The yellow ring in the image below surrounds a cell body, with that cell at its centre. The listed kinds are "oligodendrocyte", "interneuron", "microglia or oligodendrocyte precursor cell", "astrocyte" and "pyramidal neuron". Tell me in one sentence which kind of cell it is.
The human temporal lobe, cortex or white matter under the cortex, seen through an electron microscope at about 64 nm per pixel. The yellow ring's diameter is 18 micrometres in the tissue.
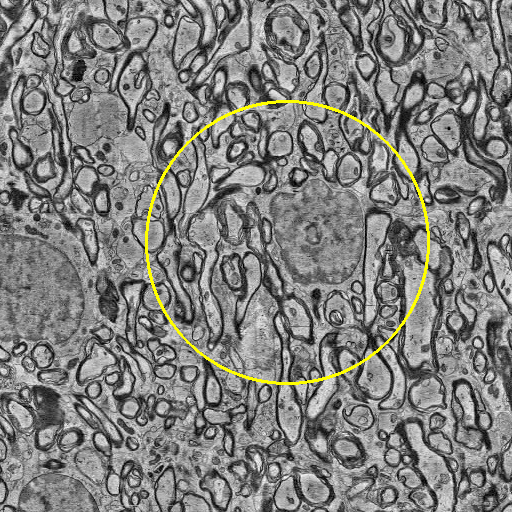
The centre of the ring holds an oligodendrocyte.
